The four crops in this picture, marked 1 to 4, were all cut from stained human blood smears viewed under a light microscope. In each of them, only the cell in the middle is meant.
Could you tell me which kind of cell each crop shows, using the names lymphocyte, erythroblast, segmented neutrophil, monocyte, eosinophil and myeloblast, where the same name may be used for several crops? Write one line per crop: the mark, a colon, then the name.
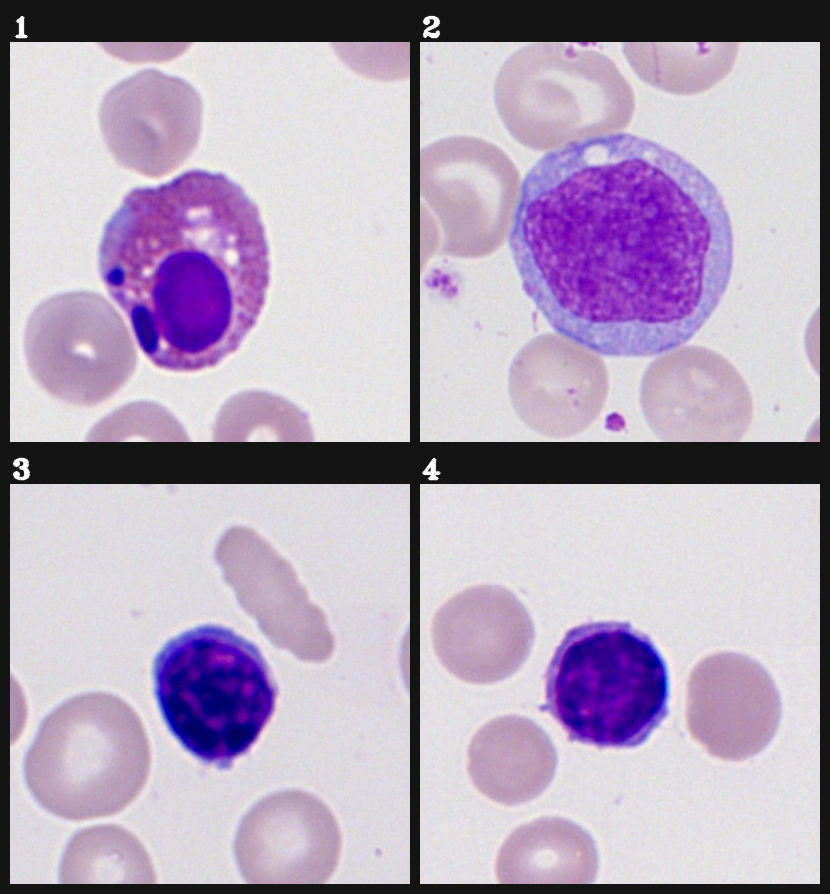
1: eosinophil
2: myeloblast
3: lymphocyte
4: lymphocyte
